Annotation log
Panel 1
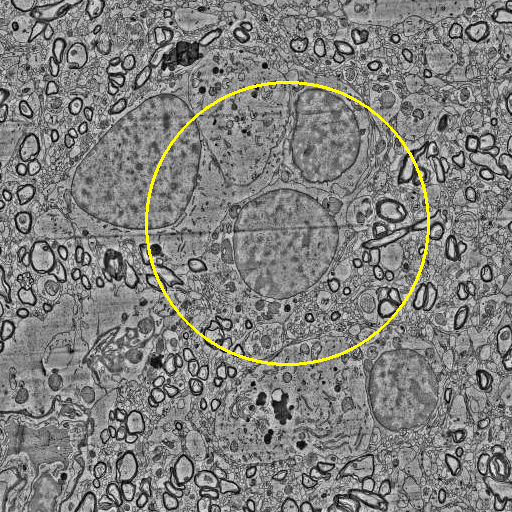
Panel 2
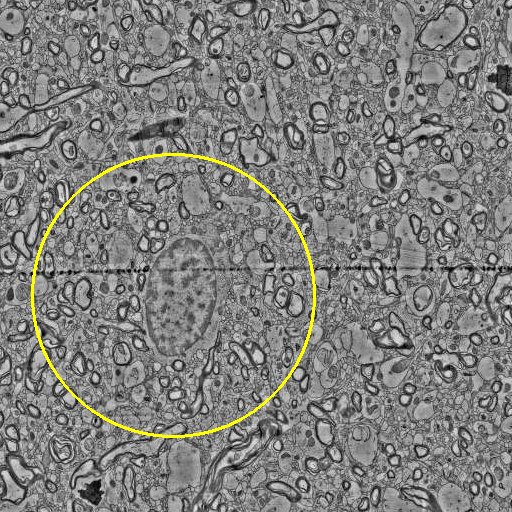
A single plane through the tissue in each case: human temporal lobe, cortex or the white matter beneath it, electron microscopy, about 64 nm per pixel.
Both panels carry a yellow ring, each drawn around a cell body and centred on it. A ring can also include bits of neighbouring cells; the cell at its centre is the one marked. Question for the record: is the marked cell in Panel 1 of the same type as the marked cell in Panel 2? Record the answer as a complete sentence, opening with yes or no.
Yes, the marked cells in Panel 1 and Panel 2 are of the same type.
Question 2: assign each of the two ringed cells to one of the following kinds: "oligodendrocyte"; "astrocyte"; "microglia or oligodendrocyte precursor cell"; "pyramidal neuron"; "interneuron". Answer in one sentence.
Both cells are the same kind, each one being an oligodendrocyte.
